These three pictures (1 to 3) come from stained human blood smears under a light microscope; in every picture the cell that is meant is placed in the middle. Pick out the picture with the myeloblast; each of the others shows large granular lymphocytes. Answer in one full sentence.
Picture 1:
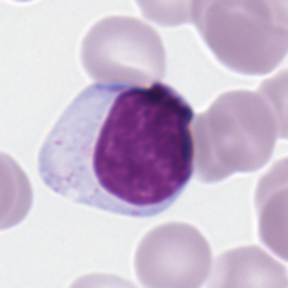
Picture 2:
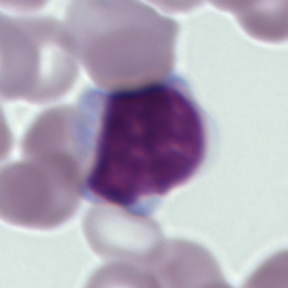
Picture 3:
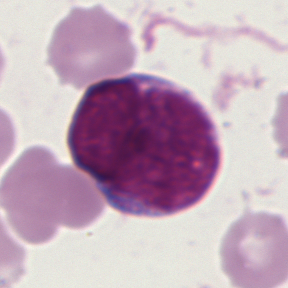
The cell in picture 3 is the myeloblast.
